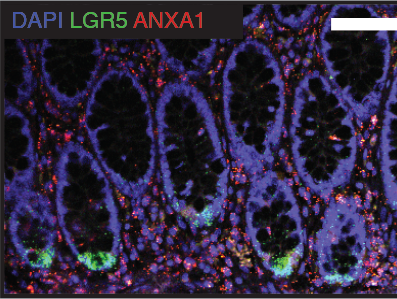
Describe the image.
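Colonic mucosa with crypts cut lengthwise and obliquely, each crypt lined by a single layer of blue nuclei around a dark lumen. Green dots crowd at the bases of the crypts near the bottom of the mucosa, while red dots are scattered mostly in the tissue between the crypts.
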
